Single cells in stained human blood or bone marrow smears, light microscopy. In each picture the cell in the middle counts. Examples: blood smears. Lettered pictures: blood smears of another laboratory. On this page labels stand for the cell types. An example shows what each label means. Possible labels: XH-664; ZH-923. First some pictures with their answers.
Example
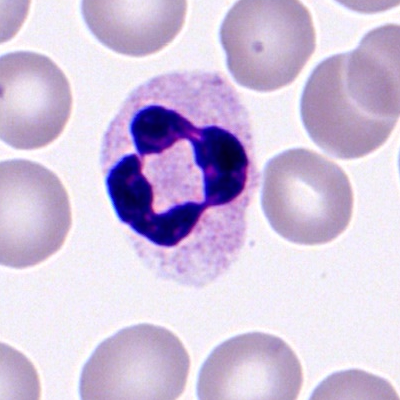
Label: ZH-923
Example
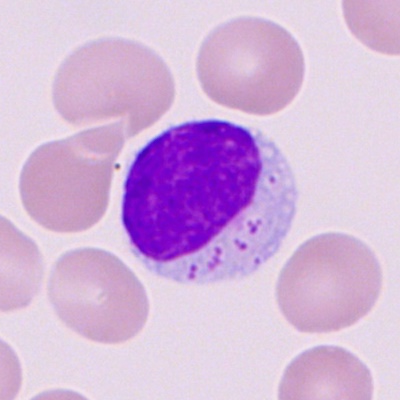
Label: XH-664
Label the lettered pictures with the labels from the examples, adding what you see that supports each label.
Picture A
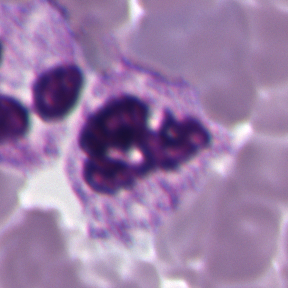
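ZH-923: The nucleus is divided into several connected lobes.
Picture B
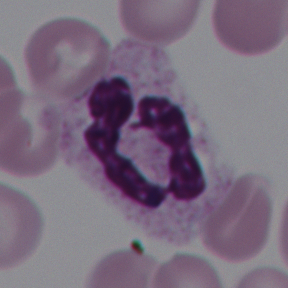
ZH-923: The cytoplasm is abundant and pale pinkish-lilac.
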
